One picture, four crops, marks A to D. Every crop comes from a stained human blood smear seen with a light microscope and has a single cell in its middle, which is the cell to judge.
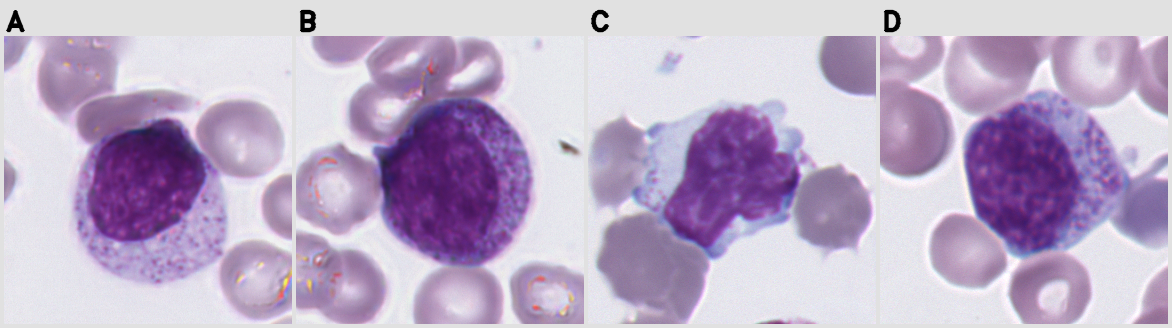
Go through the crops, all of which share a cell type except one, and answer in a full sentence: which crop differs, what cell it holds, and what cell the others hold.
Excluding crop C, which is a large granular lymphocyte, the crops all show myelocytes.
